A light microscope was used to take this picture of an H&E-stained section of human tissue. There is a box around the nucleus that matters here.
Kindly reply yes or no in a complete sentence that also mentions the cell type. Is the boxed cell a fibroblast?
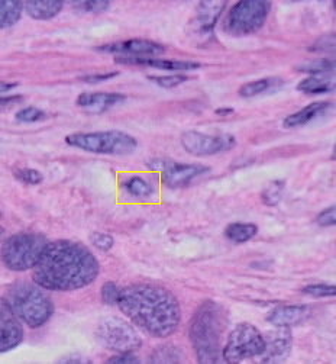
Yes, to put it simply, the boxed cell is a fibroblast.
